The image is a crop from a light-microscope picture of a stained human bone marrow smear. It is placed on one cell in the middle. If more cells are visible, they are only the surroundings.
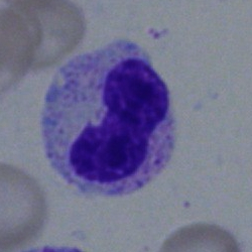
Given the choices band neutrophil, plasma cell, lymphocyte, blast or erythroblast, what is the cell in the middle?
band neutrophil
